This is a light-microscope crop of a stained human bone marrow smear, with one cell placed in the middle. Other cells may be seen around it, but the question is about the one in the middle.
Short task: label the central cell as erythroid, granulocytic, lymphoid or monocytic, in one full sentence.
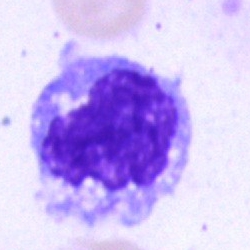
The middle cell is placed in the monocytic lineage.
